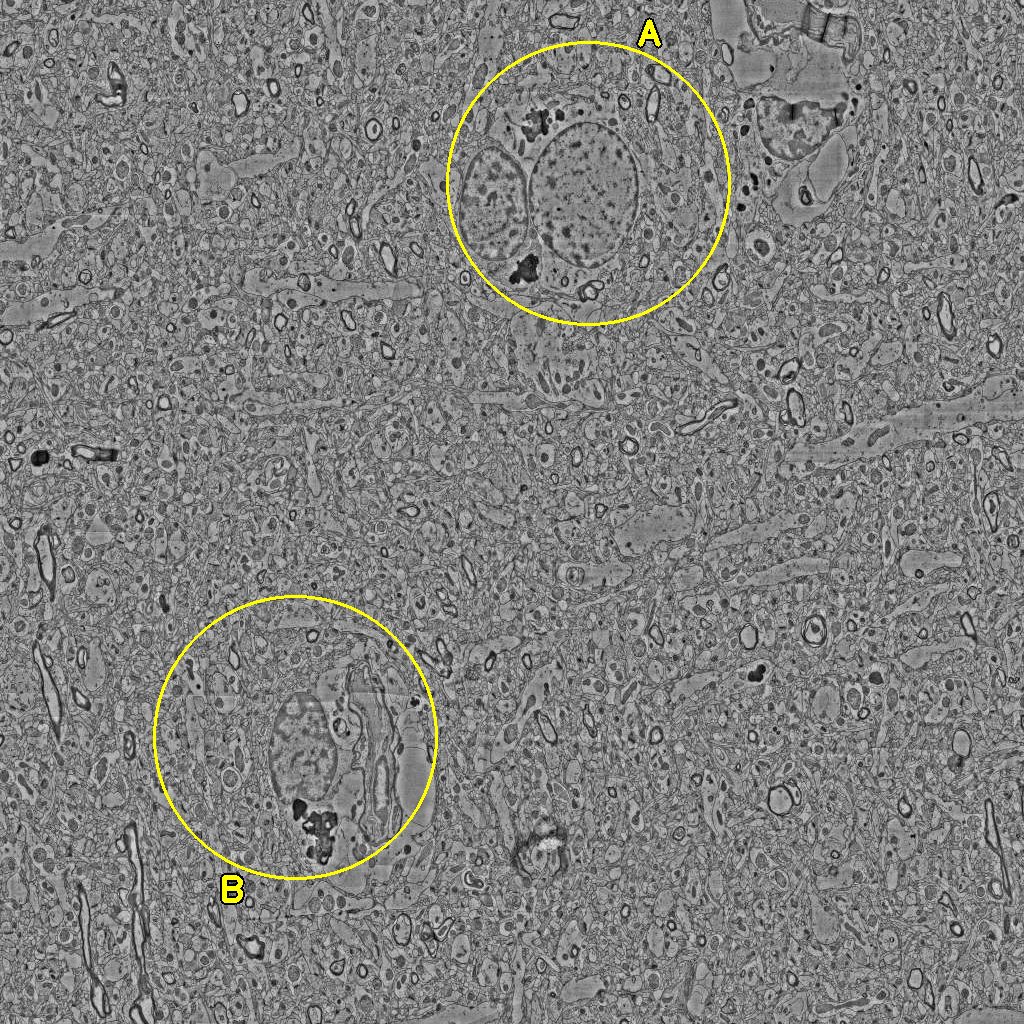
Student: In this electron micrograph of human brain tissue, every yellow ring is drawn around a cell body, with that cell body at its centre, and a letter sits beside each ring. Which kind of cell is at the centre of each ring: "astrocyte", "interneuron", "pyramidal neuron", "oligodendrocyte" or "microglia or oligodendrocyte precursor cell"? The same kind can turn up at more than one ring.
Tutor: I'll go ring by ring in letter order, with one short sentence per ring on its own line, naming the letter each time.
Ring A: the cell at its centre is an astrocyte.
Ring B: the cell at its centre is an oligodendrocyte.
